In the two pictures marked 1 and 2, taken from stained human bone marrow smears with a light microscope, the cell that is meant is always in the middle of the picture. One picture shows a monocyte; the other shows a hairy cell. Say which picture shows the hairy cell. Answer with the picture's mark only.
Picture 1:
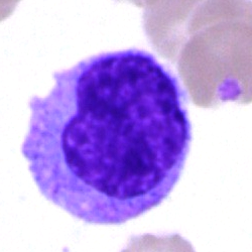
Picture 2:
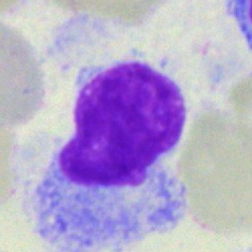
2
